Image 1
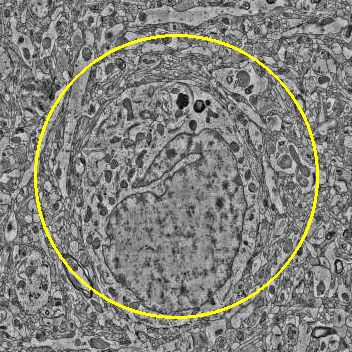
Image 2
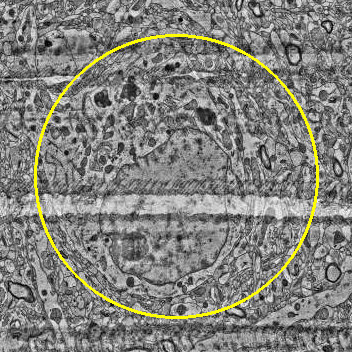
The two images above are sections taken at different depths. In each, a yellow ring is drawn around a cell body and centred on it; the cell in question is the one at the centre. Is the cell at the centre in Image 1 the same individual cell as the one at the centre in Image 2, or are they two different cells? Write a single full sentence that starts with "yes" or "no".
Yes, the rings do not mark different cells but one cell.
